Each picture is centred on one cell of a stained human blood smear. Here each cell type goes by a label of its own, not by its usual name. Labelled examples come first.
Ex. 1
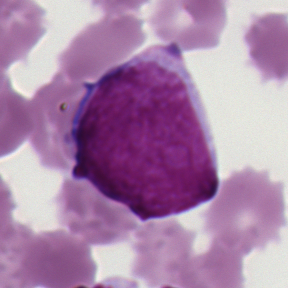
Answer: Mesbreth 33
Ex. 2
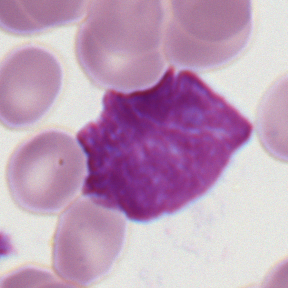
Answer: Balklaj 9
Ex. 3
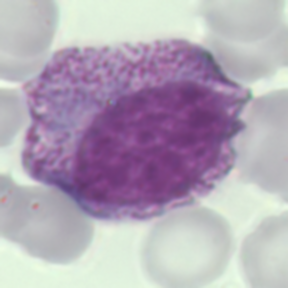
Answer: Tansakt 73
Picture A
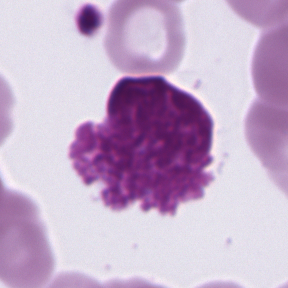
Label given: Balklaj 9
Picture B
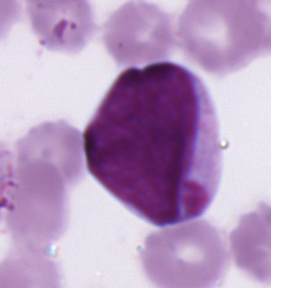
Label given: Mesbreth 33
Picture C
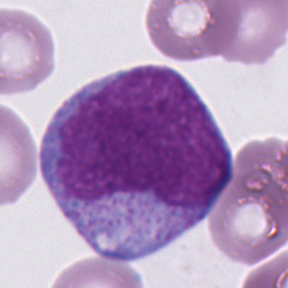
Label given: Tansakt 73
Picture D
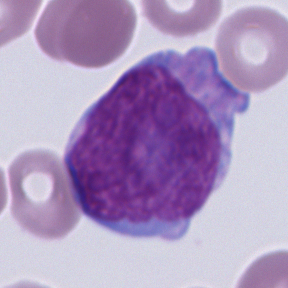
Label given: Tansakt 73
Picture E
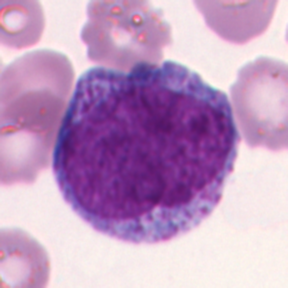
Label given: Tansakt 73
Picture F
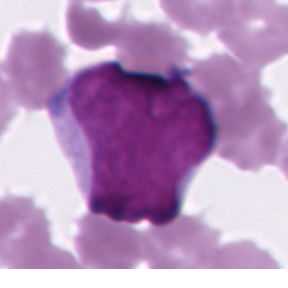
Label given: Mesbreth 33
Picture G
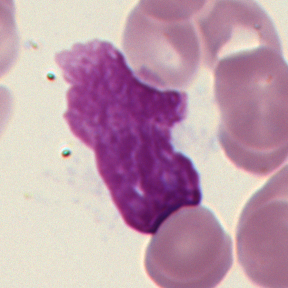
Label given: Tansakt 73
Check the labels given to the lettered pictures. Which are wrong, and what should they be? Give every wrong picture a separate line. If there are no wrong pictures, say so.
G: change Tansakt 73 to Balklaj 9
